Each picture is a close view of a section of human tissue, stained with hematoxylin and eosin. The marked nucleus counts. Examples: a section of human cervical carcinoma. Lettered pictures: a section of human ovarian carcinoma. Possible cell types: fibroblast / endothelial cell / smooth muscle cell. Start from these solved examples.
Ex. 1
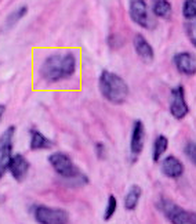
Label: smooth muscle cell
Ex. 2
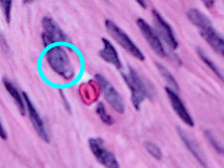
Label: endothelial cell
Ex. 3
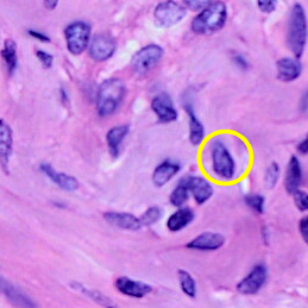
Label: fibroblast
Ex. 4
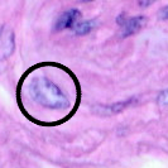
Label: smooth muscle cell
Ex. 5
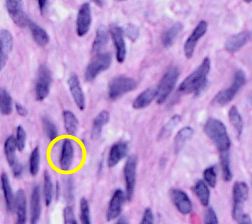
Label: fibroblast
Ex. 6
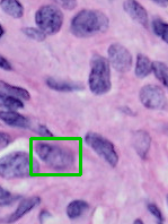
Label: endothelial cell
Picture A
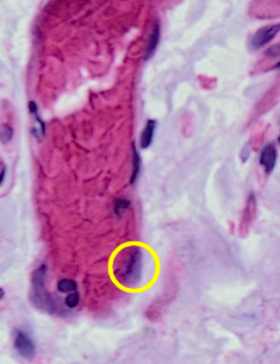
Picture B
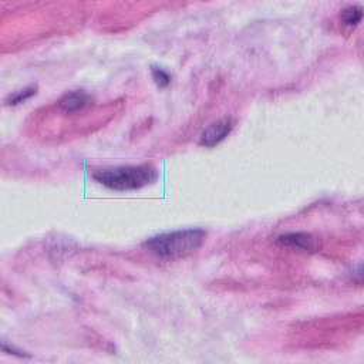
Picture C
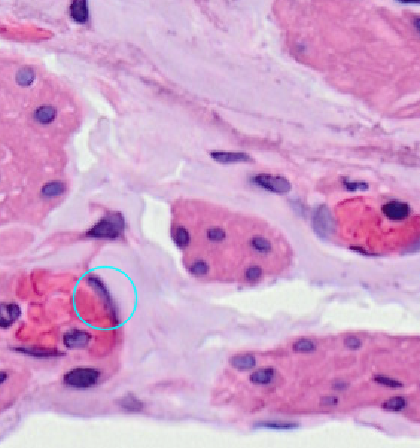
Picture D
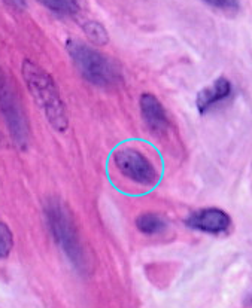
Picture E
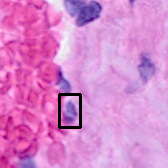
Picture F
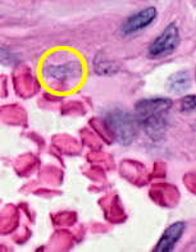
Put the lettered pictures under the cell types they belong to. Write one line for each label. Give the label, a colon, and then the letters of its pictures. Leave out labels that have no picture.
endothelial cell: A, B, C, E, F
smooth muscle cell: D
